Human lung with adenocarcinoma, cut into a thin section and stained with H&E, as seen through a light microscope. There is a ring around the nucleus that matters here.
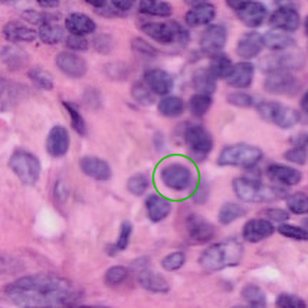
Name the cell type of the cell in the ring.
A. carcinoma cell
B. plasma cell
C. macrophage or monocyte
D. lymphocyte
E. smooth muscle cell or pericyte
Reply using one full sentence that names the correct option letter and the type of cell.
In keeping with option D, the cell in the ring is a lymphocyte.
